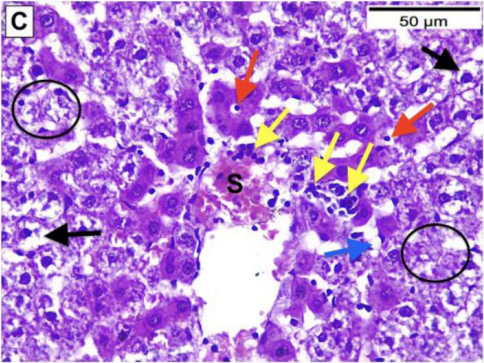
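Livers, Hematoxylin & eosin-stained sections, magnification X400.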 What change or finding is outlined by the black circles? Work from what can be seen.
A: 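Inside the circles the cells have lost their outlines, leaving pale, frayed, reticulated material. Few intact nuclei remain within the circled areas.
Hence: Lobular necrosis.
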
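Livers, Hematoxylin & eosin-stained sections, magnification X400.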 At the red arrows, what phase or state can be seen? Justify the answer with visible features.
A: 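The marked cells have deeply eosinophilic, condensed cytoplasm. Their nuclei are small and dark. So: Apoptotic hepatocytes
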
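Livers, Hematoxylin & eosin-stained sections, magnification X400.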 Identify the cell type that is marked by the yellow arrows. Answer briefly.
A: Inflammatory cells.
